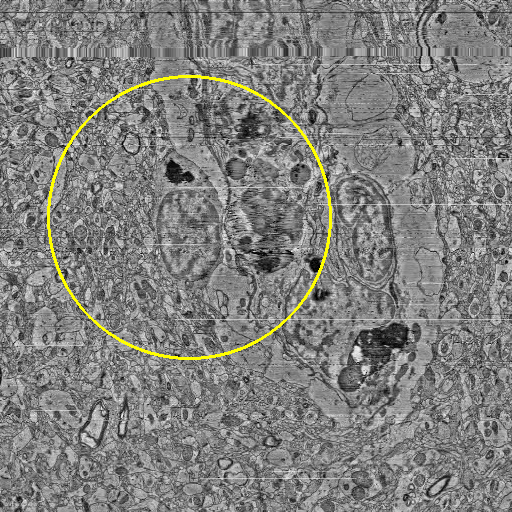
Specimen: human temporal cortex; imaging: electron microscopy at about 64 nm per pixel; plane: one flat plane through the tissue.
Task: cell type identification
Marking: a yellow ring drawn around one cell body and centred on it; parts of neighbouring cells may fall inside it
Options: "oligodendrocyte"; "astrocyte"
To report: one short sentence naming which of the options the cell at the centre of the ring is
The cell at the centre of the ring is an oligodendrocyte.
